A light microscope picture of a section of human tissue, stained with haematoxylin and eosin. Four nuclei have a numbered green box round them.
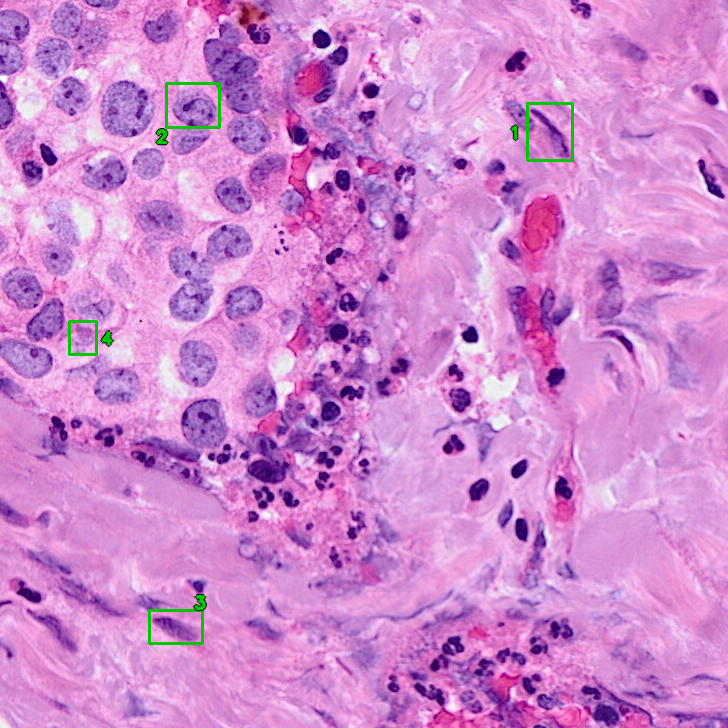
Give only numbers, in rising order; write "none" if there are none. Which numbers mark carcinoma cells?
2, 4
